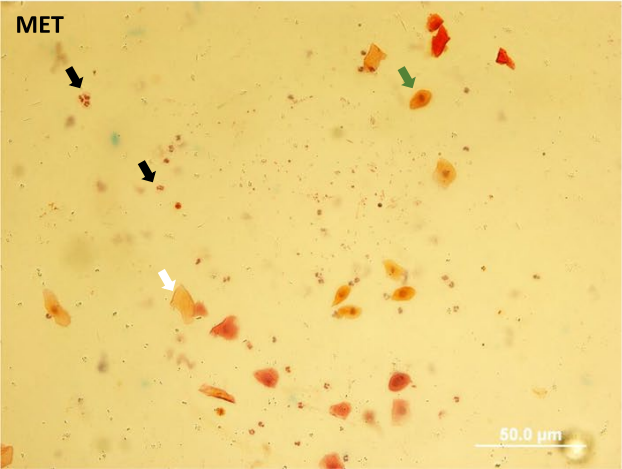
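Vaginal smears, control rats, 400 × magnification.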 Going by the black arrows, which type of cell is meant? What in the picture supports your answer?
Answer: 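Very small round cells, much smaller than the epithelial cells. Scattered singly or in tiny groups among larger cells.
Conclusion: leukocytes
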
